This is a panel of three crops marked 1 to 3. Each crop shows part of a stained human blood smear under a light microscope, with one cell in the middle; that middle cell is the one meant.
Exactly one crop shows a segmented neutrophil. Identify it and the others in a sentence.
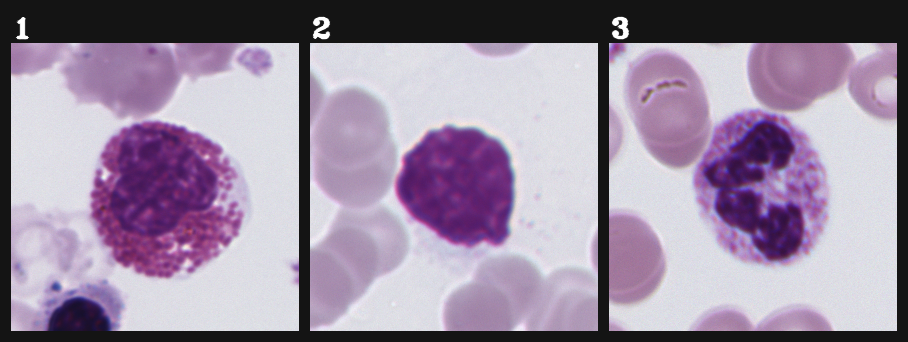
The central cell in crop 3 is a segmented neutrophil, whereas crop 1 is an eosinophil and crop 2 is a smudge cell.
